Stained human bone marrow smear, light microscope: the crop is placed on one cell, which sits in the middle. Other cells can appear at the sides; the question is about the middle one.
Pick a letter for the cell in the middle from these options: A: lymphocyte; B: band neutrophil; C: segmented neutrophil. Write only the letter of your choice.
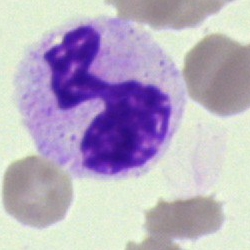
C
